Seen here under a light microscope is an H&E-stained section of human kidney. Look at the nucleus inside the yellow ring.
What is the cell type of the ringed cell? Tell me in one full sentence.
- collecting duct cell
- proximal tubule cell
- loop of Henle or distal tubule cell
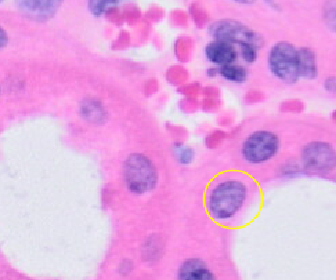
Typologically, the ringed cell is a loop of Henle or distal tubule cell in this section.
